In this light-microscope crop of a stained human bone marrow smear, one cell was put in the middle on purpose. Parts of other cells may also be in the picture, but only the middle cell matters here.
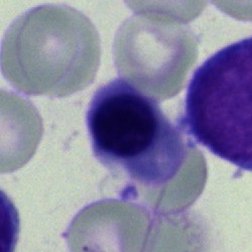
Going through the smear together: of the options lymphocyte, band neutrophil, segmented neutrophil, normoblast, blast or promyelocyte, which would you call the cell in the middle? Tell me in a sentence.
The cell featured at the centre of this crop is a normoblast.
